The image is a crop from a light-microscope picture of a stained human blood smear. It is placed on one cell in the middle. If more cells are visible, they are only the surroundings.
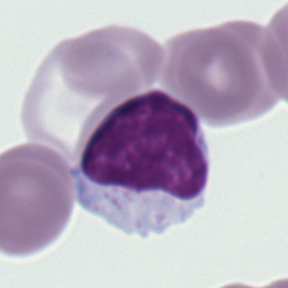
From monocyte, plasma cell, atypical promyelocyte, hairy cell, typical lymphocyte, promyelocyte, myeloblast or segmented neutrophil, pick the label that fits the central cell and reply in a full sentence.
Within this crop, a typical lymphocyte occupies the central position.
